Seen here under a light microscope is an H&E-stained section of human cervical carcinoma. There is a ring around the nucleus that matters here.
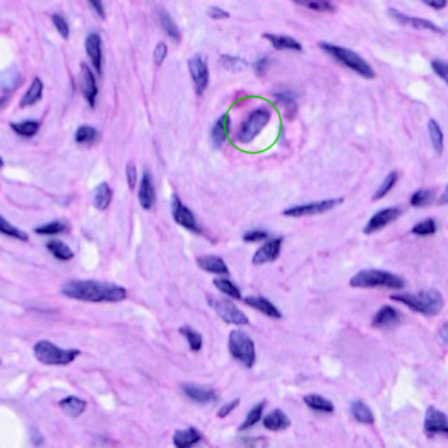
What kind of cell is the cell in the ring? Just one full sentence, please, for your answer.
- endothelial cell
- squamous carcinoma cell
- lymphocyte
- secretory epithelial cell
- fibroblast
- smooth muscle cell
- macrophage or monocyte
By cell type, the cell in the ring is an endothelial cell.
